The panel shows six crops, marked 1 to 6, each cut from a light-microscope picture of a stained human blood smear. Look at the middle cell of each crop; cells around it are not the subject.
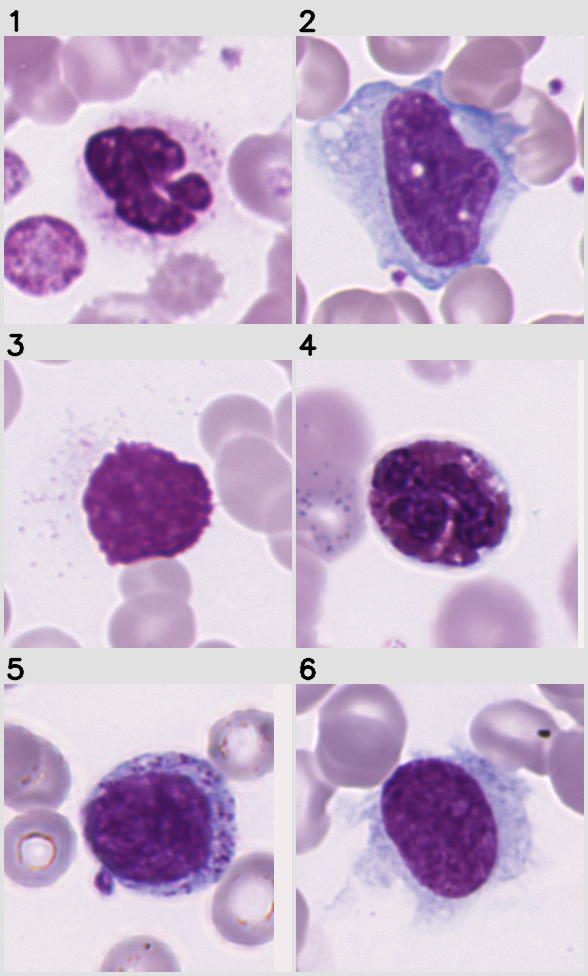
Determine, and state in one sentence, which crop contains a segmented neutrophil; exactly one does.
The one showing a segmented neutrophil is the crop labelled 1.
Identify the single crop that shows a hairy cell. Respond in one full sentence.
Of all the crops, crop 6 is the one showing a hairy cell.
